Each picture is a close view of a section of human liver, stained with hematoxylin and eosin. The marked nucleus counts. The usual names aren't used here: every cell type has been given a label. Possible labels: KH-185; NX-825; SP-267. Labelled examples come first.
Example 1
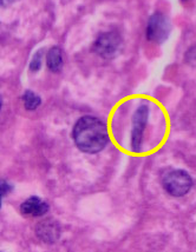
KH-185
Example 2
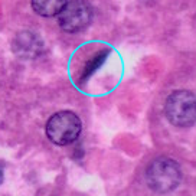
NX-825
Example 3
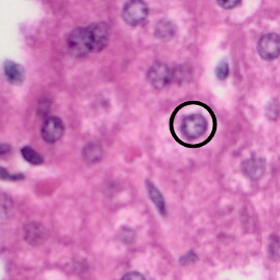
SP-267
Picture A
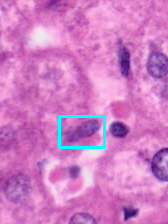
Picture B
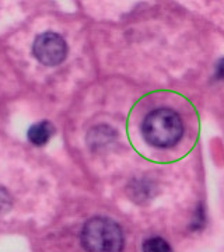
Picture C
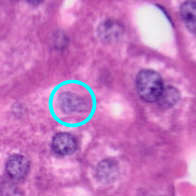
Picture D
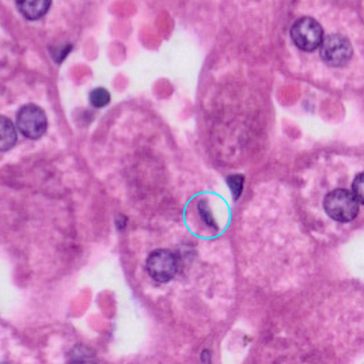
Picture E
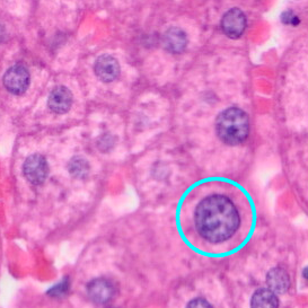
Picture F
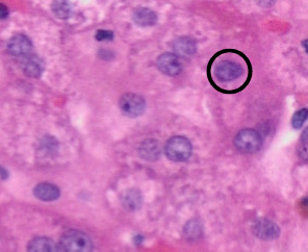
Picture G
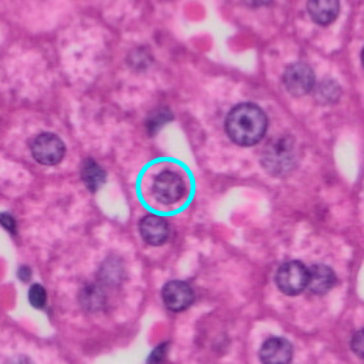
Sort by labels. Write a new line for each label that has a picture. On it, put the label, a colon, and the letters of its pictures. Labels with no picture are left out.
KH-185: A, C
NX-825: D
SP-267: B, E, F, G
